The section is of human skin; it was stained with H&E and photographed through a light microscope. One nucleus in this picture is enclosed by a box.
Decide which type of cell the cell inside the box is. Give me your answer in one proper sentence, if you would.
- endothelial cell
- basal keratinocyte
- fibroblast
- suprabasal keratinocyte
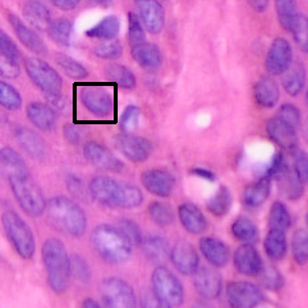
In this tissue section, the cell inside the box is to be classed as a basal keratinocyte.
